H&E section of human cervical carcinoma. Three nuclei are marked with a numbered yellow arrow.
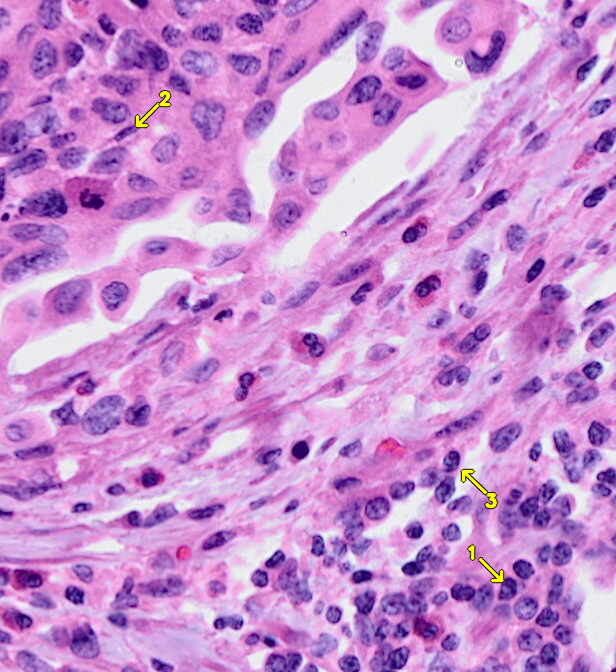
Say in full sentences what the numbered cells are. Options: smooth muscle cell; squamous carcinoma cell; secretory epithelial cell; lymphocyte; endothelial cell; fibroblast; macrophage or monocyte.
Cell 1 is a lymphocyte, cell 2 is a squamous carcinoma cell and cell 3 is a lymphocyte.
